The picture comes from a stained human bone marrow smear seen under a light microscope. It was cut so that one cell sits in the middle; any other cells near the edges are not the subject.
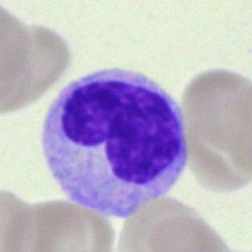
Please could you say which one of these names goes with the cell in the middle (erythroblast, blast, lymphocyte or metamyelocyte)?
metamyelocyte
